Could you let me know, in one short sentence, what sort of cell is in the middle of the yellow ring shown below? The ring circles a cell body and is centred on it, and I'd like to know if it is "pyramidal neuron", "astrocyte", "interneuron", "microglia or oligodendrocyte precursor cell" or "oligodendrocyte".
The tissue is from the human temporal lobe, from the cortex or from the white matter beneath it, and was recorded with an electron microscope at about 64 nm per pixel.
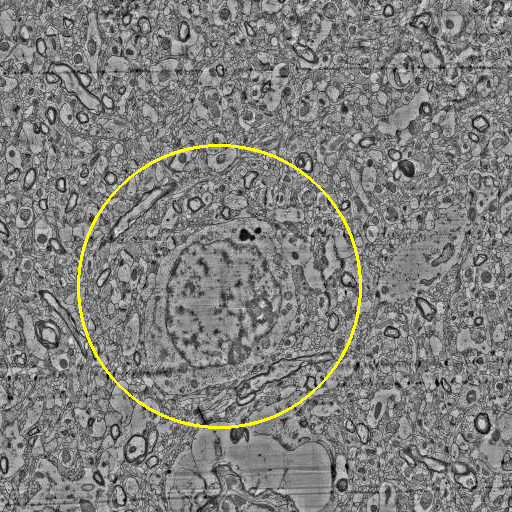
The ring circles the cell body of an interneuron.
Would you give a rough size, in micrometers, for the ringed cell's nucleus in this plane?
Approximately 8 micrometres across, in this plane.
